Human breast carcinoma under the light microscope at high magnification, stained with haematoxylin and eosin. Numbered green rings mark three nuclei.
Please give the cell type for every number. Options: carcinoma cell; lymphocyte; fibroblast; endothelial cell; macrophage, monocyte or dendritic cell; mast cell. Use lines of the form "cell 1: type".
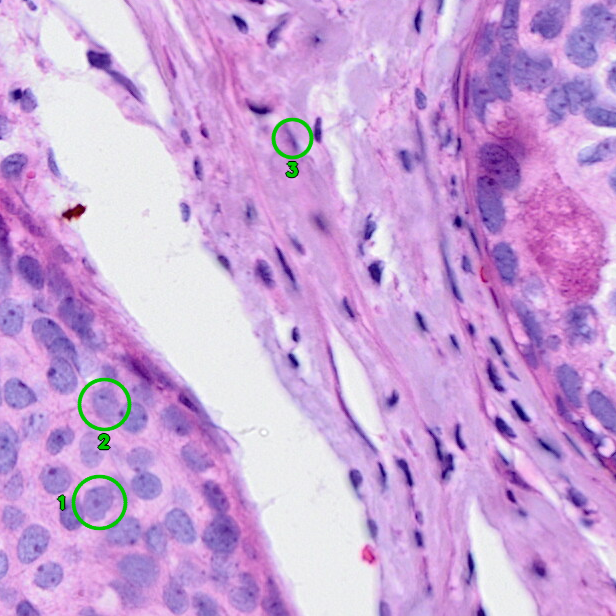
cell 1: carcinoma cell
cell 2: carcinoma cell
cell 3: fibroblast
